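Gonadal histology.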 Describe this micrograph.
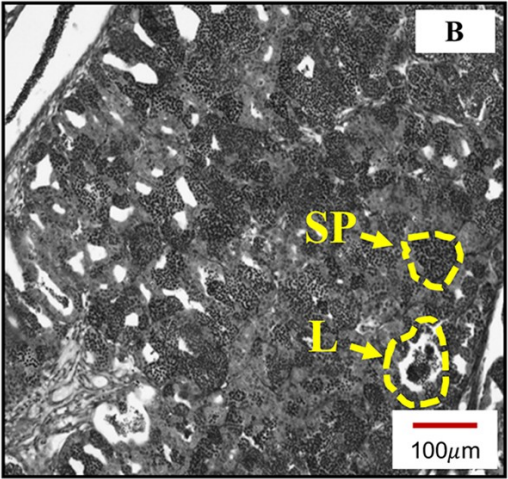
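This is a section of testis in which most of the tissue is taken up by dense clusters of tiny, dark-staining spermatozoids. The clusters fill the testicular lobules, which appear as rounded compartments, some with an open pale lumen in their centre.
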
